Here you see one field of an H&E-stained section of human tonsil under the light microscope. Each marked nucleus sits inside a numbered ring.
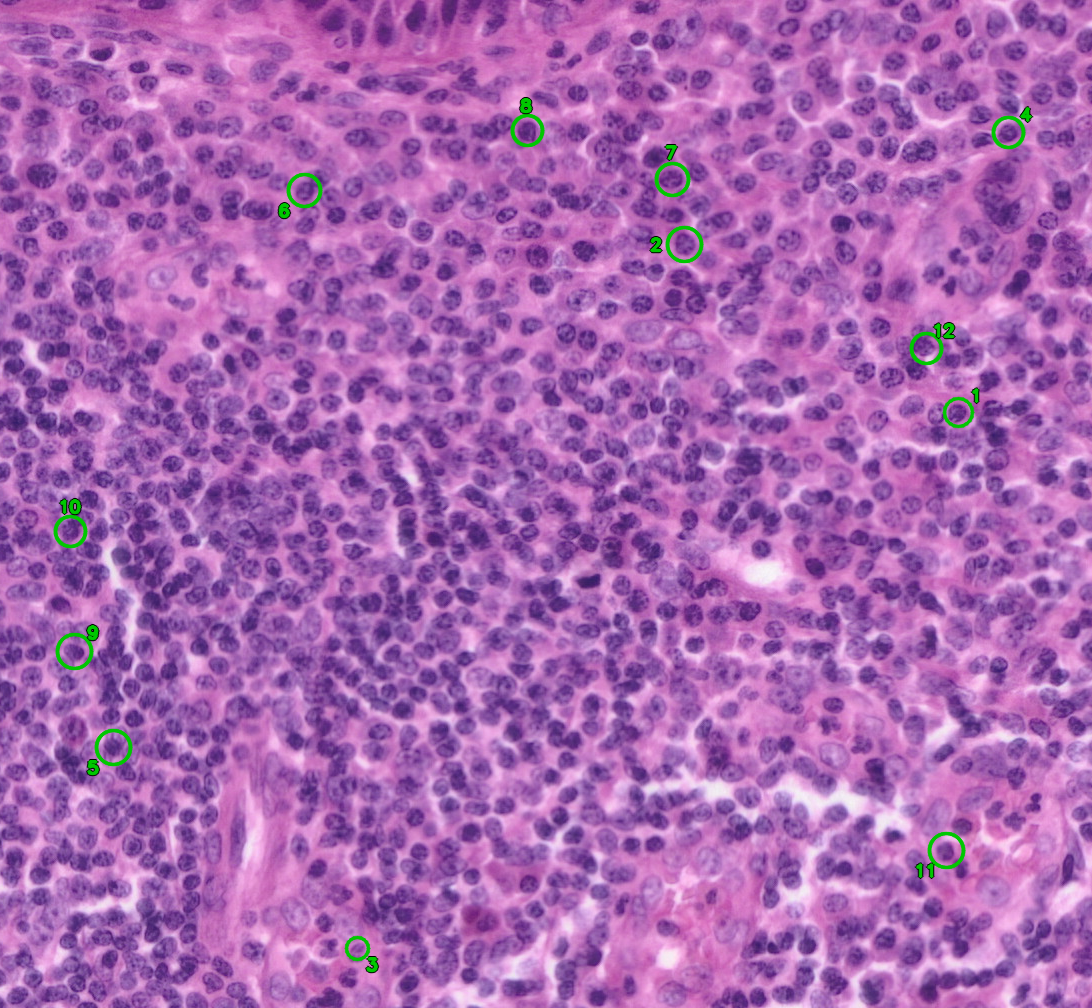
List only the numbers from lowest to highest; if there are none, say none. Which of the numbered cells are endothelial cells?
3, 11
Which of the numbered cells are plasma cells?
1, 2, 4, 6, 7, 8, 12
